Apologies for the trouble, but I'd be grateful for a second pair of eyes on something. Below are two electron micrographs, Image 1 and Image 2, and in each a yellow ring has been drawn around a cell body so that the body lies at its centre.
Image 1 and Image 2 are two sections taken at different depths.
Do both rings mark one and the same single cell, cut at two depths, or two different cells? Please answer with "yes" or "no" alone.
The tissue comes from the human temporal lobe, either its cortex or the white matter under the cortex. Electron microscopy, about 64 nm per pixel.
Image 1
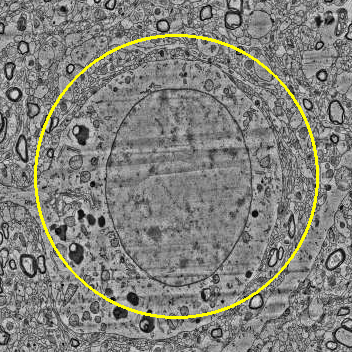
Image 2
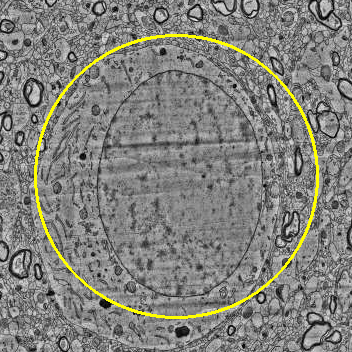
yes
